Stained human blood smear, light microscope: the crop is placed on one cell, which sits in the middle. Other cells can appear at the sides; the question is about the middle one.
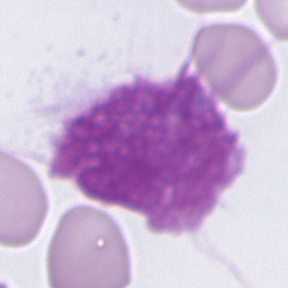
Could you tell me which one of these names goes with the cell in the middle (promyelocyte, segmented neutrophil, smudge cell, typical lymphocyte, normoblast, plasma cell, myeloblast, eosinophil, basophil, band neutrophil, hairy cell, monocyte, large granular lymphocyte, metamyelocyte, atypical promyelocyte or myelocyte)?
smudge cell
